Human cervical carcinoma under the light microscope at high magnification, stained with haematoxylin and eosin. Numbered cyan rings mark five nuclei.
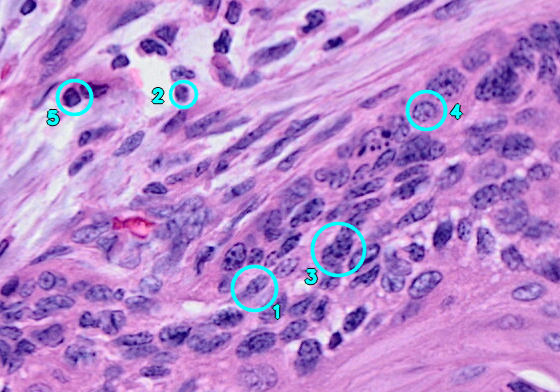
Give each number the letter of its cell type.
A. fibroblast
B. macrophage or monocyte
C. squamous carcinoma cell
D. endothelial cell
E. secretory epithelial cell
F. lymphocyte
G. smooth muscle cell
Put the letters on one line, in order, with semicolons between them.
C; F; C; C; F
